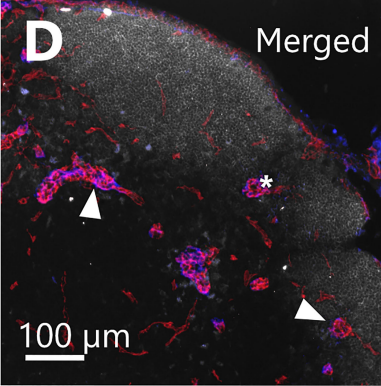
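This is a low-power view of a lymph node cortex with large rounded white follicles lying at the periphery beneath the capsule. Beneath and between the follicles, in the darker deeper tissue, are scattered thick, compact vessel profiles stained red and blue, appearing magenta, which are high endothelial venules. Several of these lie close to the follicle borders, and thin red vessels run through the tissue and along the capsule.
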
